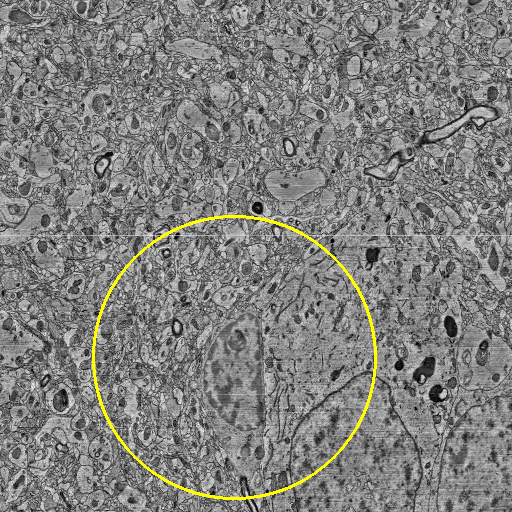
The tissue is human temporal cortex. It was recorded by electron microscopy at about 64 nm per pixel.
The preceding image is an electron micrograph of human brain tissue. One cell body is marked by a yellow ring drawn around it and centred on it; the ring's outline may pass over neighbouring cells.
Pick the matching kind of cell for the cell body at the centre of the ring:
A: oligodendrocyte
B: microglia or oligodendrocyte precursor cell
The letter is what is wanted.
A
